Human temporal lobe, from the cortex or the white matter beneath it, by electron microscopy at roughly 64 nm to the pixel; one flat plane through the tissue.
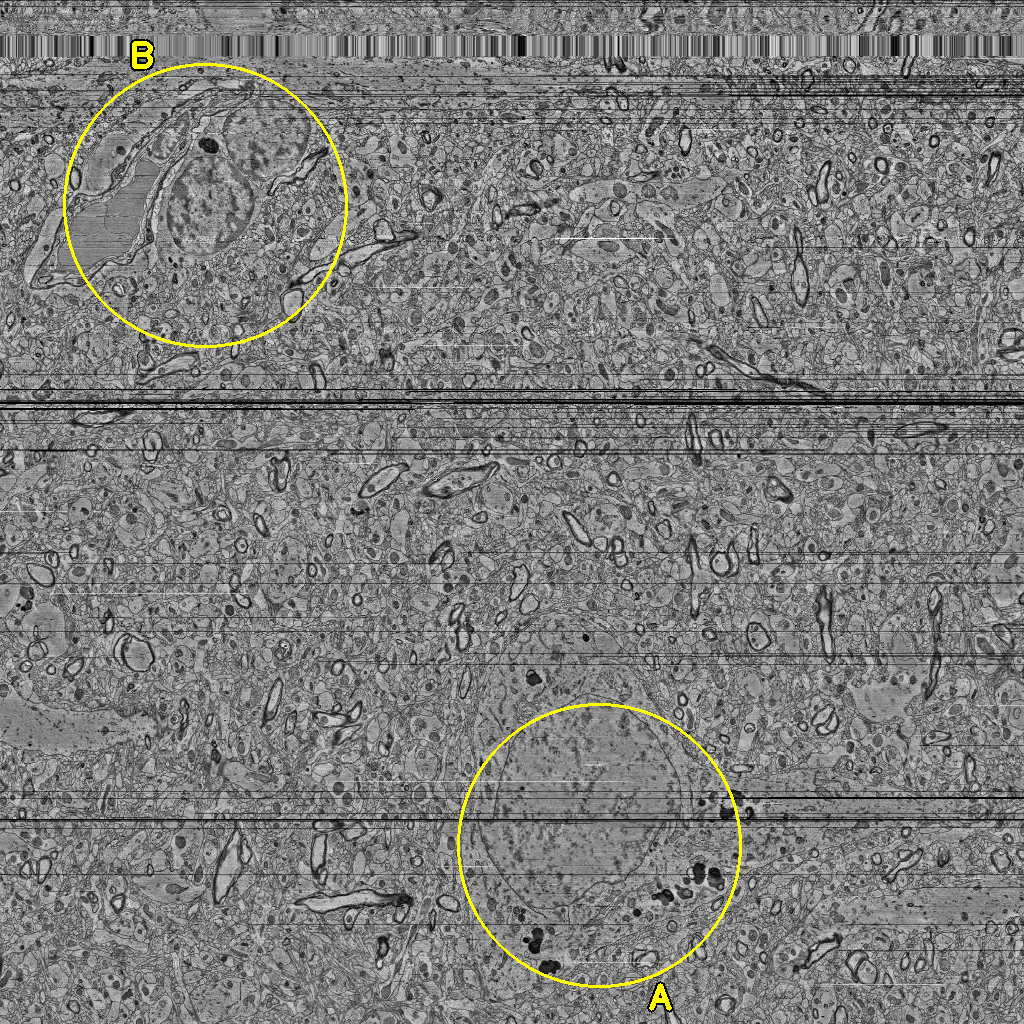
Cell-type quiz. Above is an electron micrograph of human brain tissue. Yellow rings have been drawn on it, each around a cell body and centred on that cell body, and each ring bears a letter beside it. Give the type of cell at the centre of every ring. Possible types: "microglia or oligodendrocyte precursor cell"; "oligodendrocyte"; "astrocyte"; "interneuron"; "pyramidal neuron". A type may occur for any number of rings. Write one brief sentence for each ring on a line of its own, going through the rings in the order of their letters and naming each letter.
Ring A is centred on the cell body of a pyramidal neuron.
Ring B is centred on the cell body of an oligodendrocyte.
